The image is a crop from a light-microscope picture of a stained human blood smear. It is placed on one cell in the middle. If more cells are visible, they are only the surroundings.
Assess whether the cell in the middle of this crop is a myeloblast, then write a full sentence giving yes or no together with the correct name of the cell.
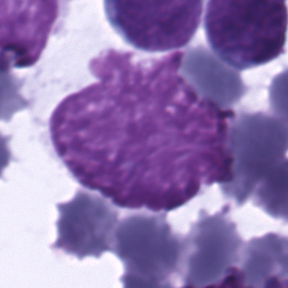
No, the cell in the middle of the crop counts as a smudge cell and not as a myeloblast.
